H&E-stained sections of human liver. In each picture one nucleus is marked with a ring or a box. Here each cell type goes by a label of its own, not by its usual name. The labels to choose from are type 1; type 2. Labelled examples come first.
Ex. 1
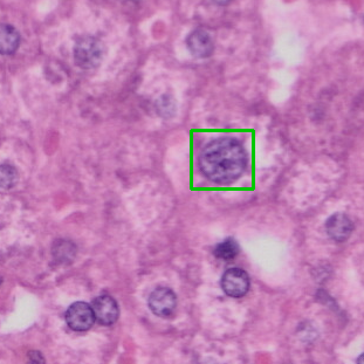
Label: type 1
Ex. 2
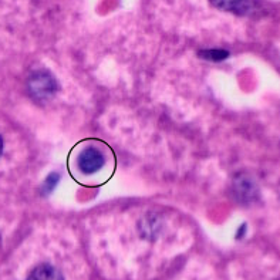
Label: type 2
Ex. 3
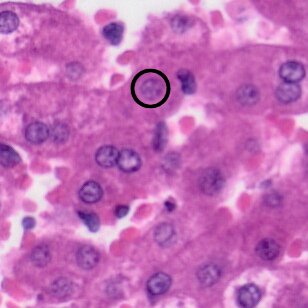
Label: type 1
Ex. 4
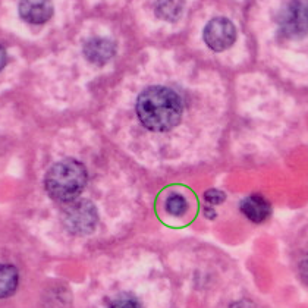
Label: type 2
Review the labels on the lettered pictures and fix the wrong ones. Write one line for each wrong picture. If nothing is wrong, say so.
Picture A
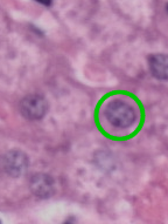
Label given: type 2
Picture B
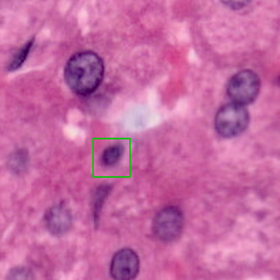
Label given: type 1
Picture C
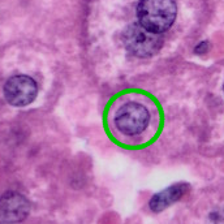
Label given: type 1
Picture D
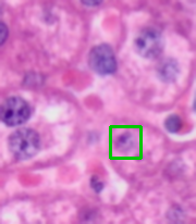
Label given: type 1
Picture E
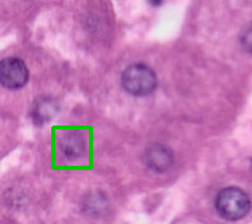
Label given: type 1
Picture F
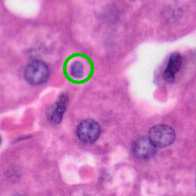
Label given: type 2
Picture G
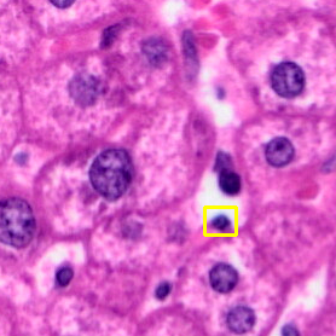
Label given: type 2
A should be type 1, not type 2
B should be type 2, not type 1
